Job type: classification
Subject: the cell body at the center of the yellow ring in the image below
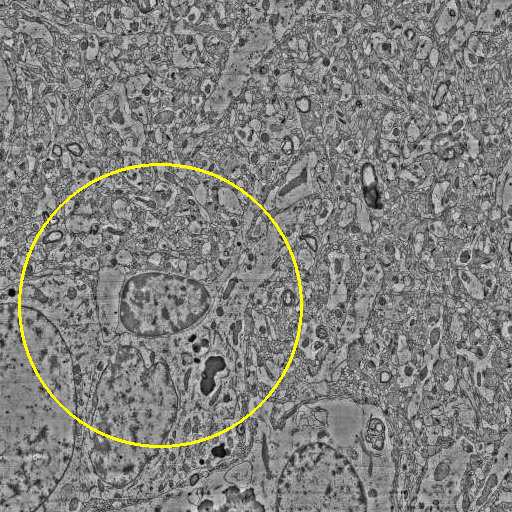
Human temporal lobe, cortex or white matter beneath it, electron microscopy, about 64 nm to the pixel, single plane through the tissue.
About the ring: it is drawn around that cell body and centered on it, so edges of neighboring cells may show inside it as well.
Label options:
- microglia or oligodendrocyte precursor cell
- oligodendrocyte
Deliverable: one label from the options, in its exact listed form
microglia or oligodendrocyte precursor cell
